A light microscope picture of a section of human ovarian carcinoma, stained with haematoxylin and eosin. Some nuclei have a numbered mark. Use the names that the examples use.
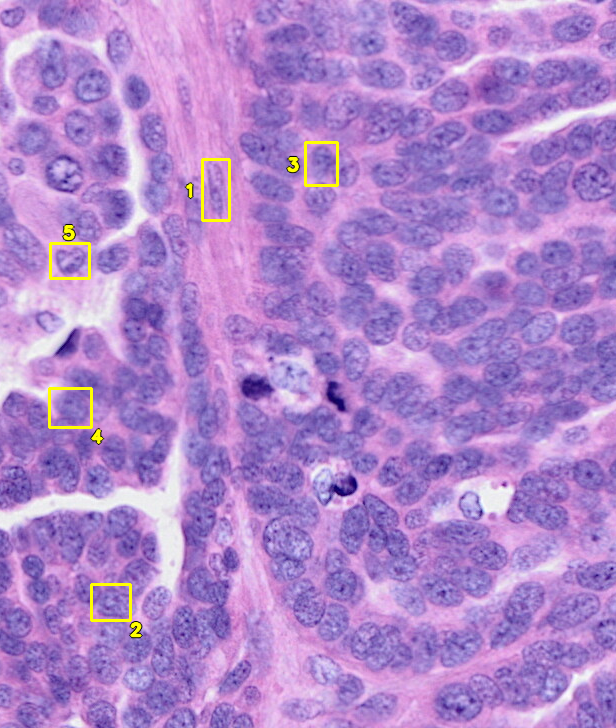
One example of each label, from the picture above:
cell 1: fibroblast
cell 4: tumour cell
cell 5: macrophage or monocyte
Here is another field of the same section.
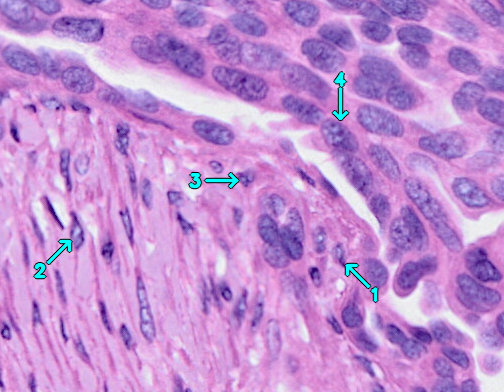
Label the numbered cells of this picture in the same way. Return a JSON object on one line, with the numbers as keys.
{"1": "fibroblast", "2": "fibroblast", "3": "fibroblast", "4": "tumour cell"}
